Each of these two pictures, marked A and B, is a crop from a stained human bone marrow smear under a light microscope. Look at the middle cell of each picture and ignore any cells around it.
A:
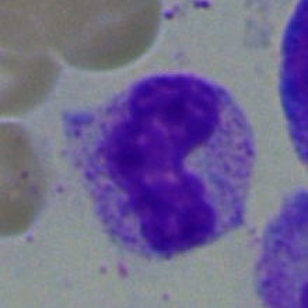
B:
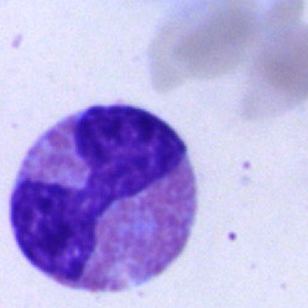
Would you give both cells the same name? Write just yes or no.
no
